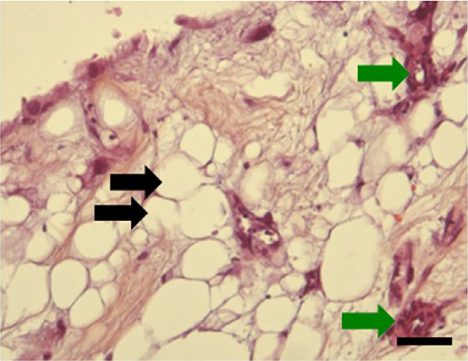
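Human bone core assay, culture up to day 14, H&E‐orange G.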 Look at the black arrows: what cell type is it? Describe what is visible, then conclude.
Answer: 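The arrows point at large round empty spaces bounded by thin membranes. Such empty round spaces fill much of the tissue in a lattice.
Adipocytes.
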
